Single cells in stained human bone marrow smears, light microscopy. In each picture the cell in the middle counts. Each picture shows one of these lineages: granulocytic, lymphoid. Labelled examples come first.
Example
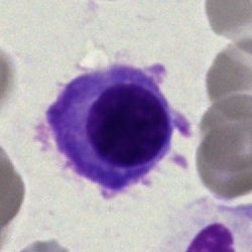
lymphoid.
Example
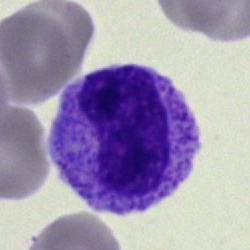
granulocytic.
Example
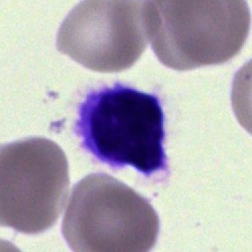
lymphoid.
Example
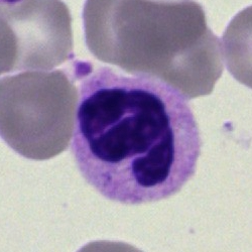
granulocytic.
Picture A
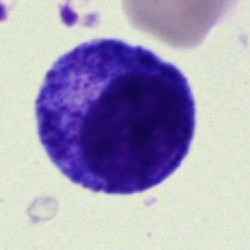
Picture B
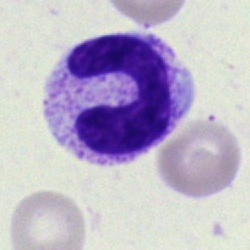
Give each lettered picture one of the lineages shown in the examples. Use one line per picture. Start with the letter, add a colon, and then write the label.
A: granulocytic.
B: granulocytic.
